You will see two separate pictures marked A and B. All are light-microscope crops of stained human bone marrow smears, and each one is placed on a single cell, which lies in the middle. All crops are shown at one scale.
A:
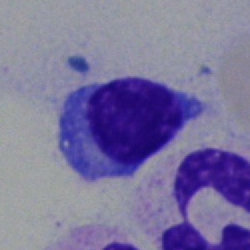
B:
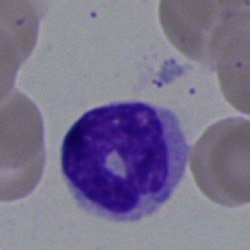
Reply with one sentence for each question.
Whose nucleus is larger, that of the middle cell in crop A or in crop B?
It is the nucleus in crop B, about 1.5 times as large in area as the one in crop A.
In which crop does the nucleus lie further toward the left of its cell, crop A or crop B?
The nucleus in crop B lies further toward the left of its cell.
